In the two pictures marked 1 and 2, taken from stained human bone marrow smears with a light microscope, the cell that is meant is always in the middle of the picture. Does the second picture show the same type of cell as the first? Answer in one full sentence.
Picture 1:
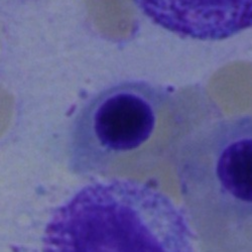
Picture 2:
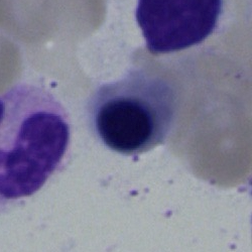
Yes; the cells in both pictures are erythroblasts.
